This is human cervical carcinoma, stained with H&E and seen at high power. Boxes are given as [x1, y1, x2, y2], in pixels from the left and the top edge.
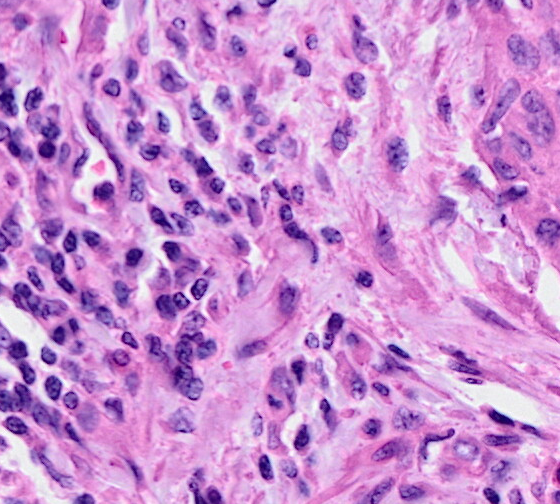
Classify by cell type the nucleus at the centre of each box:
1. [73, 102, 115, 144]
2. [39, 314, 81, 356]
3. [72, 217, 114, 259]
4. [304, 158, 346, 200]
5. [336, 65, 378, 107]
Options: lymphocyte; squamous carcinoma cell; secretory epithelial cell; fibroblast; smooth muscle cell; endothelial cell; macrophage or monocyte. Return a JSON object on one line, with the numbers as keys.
{"1": "endothelial cell", "2": "lymphocyte", "3": "lymphocyte", "4": "fibroblast", "5": "macrophage or monocyte"}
